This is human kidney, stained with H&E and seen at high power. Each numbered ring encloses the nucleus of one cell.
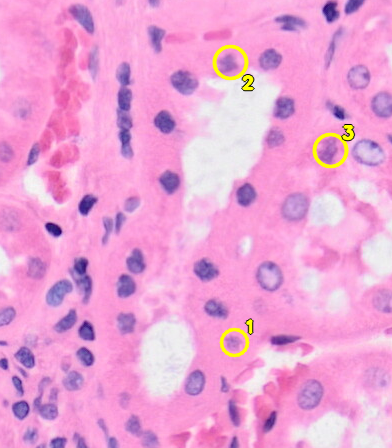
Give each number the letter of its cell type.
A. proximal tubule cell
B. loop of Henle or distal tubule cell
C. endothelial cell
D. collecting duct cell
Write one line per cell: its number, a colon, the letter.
1: B
2: B
3: A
